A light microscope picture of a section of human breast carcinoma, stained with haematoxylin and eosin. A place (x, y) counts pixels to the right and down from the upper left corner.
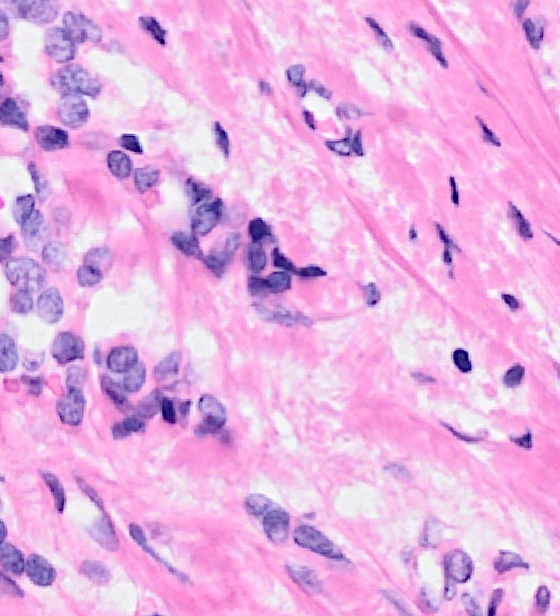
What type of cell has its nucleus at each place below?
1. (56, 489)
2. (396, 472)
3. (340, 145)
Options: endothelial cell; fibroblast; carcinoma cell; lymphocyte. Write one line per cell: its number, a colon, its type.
1: endothelial cell
2: fibroblast
3: endothelial cell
